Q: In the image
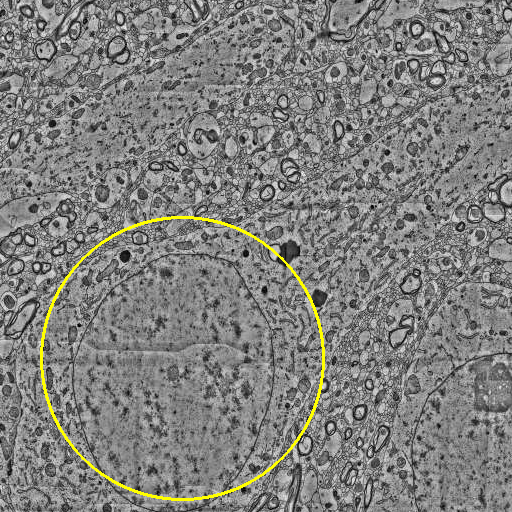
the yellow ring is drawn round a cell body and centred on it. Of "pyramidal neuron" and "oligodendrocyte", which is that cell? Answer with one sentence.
The cell centred in the ring is a pyramidal neuron.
